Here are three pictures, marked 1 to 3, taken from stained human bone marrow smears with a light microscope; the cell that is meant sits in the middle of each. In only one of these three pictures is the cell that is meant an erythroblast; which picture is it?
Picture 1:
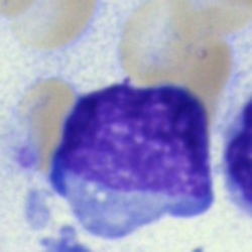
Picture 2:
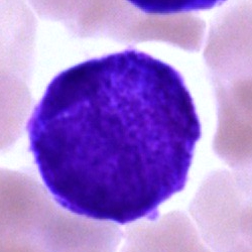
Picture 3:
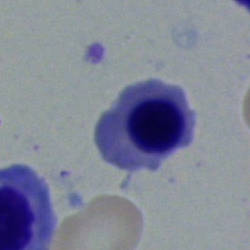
3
